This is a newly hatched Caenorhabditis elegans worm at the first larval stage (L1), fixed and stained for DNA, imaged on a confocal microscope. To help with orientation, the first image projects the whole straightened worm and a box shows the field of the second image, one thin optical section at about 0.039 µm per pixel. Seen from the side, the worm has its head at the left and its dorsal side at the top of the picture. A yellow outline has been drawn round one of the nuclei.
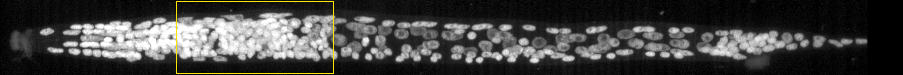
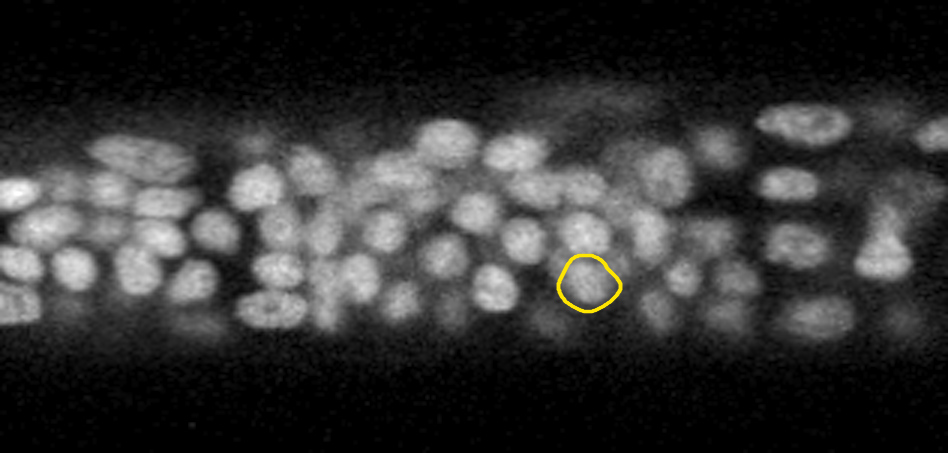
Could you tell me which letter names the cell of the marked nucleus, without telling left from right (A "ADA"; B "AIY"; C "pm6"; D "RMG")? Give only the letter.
B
